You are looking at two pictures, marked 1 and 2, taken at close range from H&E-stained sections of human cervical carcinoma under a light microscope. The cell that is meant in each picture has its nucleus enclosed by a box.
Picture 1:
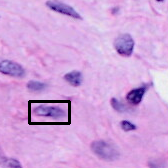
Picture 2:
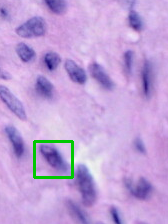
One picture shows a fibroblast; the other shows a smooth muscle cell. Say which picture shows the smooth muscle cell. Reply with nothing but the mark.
1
